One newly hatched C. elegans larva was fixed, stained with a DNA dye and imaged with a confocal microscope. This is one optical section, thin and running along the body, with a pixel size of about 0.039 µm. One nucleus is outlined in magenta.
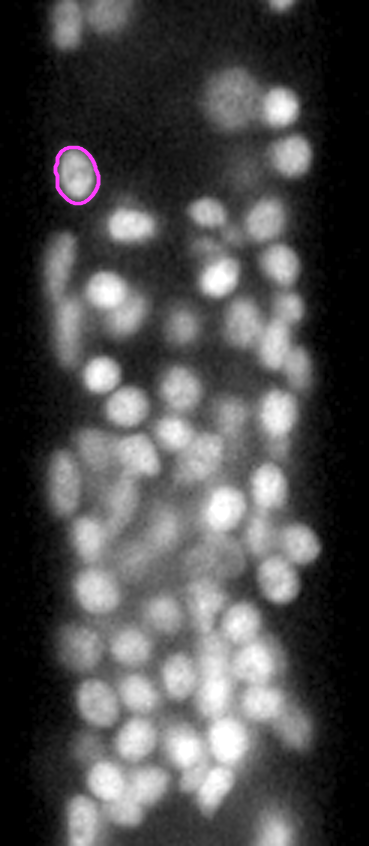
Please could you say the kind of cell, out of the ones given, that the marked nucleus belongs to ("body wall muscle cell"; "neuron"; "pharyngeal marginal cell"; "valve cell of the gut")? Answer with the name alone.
body wall muscle cell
